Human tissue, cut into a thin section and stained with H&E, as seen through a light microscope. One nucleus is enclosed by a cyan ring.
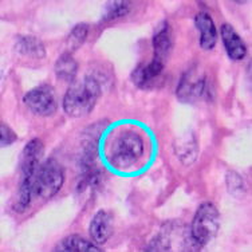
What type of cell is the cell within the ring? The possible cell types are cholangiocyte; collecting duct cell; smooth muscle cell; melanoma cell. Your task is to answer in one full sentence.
Placed in its cell category, the cell within the ring is a melanoma cell.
